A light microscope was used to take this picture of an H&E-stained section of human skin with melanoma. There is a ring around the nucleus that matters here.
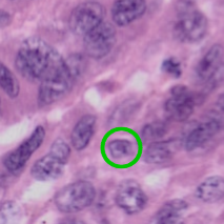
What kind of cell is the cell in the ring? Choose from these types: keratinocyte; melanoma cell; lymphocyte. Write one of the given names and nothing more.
melanoma cell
